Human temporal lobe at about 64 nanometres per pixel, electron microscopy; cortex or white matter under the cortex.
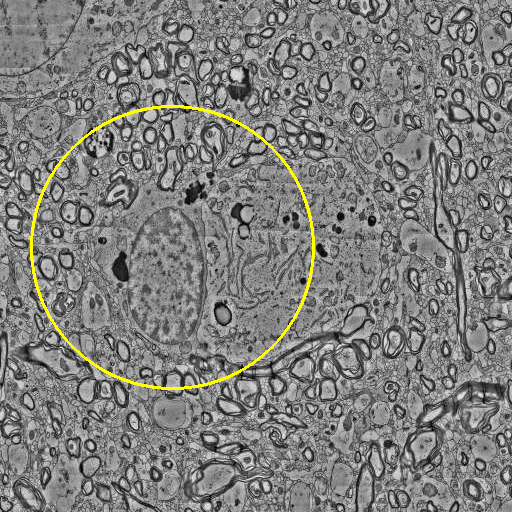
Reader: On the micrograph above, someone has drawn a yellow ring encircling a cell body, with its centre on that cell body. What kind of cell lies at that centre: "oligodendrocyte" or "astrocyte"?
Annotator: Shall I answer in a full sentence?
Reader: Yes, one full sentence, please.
Here an oligodendrocyte sits at the centre of the yellow ring drawn on the micrograph.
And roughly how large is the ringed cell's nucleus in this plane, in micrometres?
In this plane, approximately 9 by 6 micrometers.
